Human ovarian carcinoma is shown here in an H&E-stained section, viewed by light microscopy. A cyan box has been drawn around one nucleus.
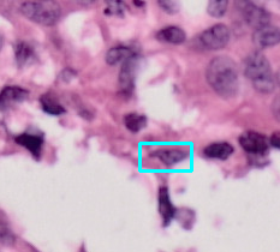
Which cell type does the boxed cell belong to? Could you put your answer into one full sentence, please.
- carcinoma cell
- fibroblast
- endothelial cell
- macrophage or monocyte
In cell-type terms, the boxed cell is a macrophage or monocyte.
